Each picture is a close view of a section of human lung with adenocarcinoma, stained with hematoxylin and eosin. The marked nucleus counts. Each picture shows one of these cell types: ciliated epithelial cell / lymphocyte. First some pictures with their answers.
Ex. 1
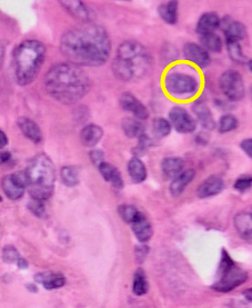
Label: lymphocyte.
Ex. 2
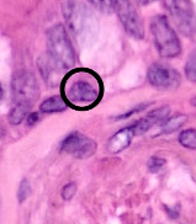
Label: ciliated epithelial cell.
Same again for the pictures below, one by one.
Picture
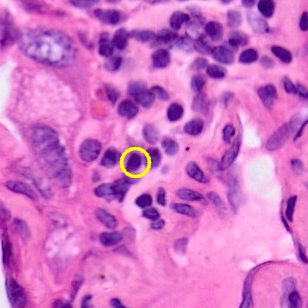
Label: lymphocyte.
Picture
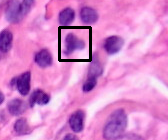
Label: lymphocyte.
